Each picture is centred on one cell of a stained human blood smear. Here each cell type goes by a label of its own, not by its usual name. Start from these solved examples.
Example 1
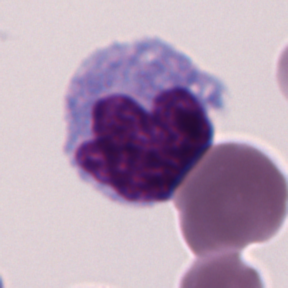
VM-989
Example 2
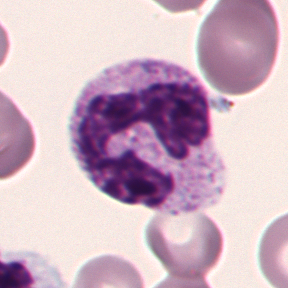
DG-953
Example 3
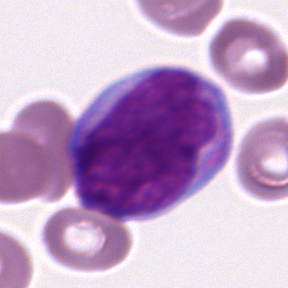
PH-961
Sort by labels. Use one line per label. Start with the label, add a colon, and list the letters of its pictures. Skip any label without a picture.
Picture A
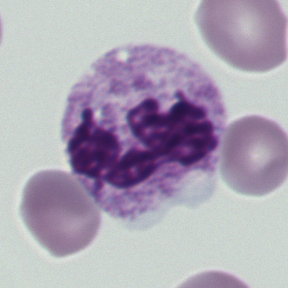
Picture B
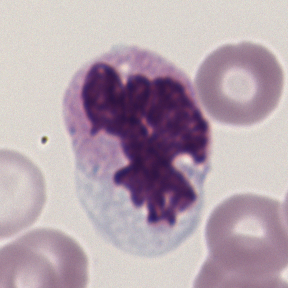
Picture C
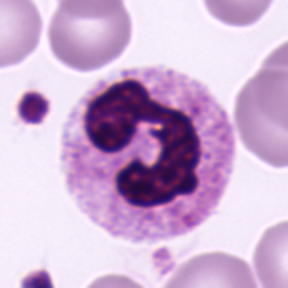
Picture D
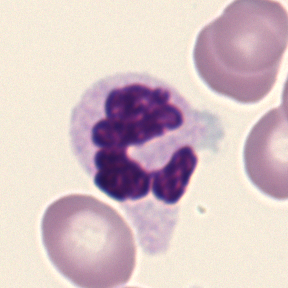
DG-953: A, B, C, D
